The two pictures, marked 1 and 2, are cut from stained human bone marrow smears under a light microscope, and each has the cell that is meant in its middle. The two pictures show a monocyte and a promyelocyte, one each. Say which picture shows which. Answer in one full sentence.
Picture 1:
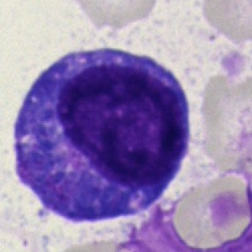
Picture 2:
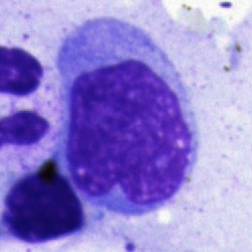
Picture 1 shows a promyelocyte and picture 2 shows a monocyte.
